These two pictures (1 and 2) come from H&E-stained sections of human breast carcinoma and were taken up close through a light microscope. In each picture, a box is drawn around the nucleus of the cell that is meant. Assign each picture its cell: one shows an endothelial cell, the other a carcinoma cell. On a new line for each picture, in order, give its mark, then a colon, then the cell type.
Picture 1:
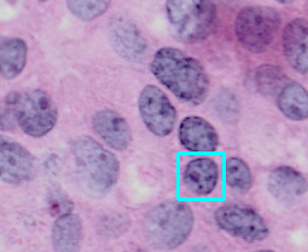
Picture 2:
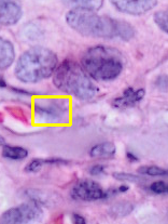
1: carcinoma cell
2: endothelial cell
